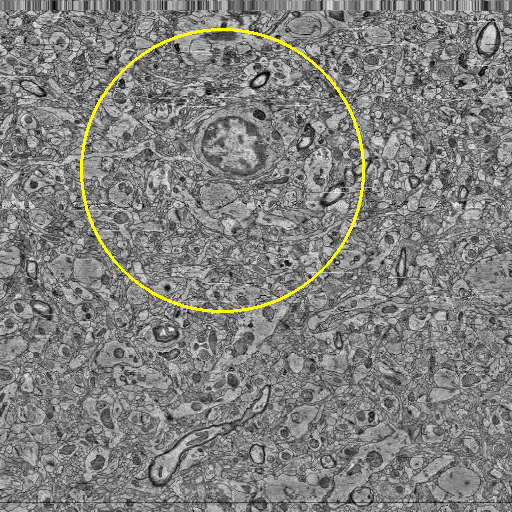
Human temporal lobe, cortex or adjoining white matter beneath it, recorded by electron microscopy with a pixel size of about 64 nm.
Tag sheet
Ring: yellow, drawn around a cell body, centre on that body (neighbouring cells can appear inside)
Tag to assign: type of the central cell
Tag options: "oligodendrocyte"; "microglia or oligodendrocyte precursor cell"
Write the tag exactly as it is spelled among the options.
oligodendrocyte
